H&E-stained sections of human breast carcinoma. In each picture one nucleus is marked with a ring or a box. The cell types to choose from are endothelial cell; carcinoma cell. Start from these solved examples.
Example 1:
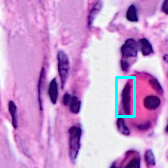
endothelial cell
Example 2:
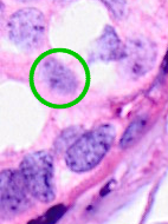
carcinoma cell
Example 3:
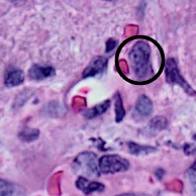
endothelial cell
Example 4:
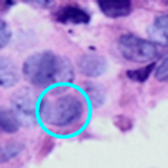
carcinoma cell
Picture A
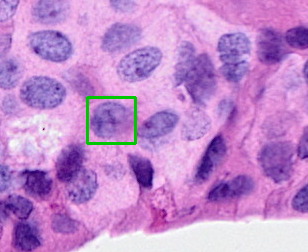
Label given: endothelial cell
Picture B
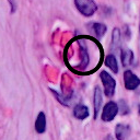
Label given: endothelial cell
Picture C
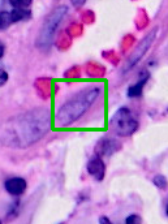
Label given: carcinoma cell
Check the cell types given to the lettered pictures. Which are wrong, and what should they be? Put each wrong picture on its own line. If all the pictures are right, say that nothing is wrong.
Wrong: A (endothelial cell); correct: carcinoma cell
Wrong: C (carcinoma cell); correct: endothelial cell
